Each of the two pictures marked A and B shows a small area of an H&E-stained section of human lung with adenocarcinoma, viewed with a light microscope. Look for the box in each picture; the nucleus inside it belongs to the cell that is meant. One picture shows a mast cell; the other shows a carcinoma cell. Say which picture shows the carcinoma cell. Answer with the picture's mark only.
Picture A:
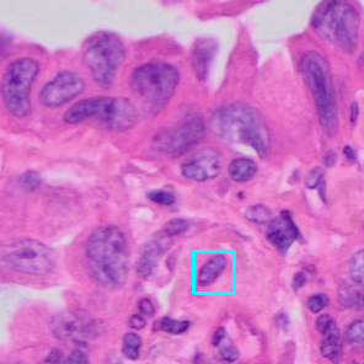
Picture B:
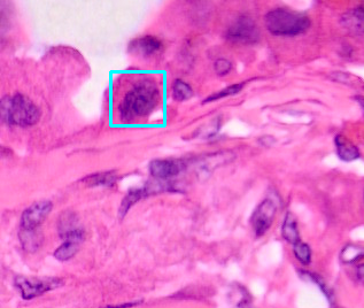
B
